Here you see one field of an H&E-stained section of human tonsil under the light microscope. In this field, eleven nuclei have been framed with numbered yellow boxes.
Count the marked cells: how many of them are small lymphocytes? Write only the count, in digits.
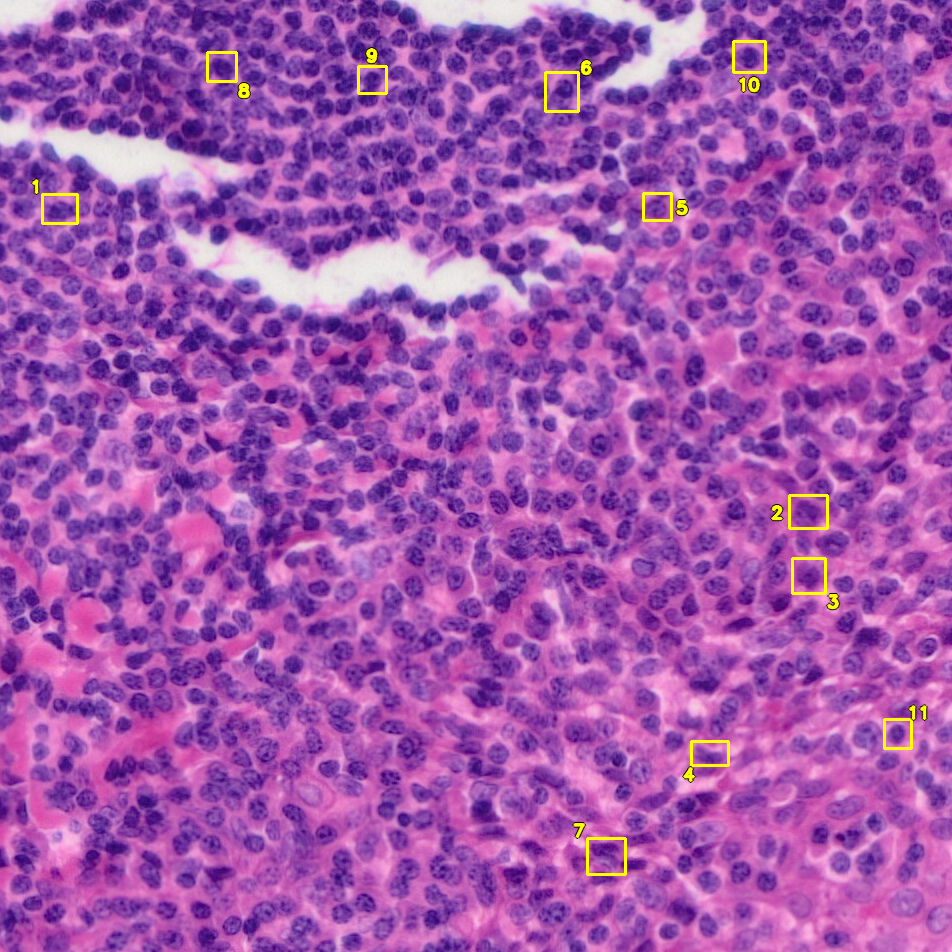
5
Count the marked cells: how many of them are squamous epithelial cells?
5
